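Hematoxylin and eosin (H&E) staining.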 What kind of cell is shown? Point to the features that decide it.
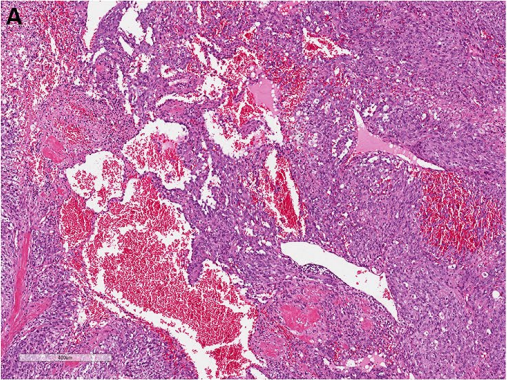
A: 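Sheets of densely packed cells with elongated and oval purple nuclei fill the field. The cells grow diffusely without an organized pattern between blood-filled spaces.
Atypical spindle and oval cells.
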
